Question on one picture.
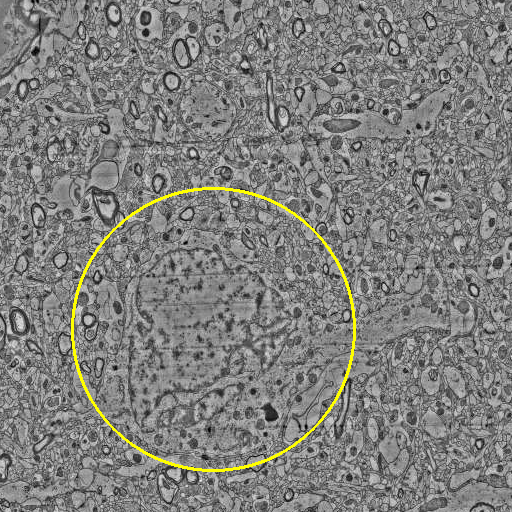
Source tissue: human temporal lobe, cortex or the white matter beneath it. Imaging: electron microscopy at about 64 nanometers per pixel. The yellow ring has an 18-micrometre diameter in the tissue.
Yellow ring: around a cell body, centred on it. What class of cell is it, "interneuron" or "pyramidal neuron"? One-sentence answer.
This is an interneuron, the cell the ring is centred on.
